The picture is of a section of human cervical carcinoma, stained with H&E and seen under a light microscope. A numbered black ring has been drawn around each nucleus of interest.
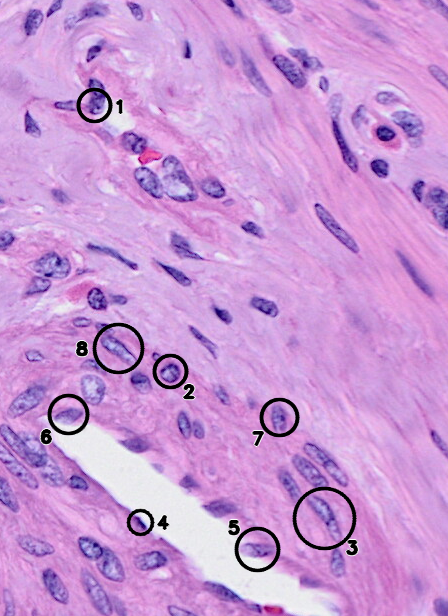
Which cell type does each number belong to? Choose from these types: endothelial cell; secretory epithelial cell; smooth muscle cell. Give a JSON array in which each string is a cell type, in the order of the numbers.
["endothelial cell", "smooth muscle cell", "smooth muscle cell", "endothelial cell", "endothelial cell", "endothelial cell", "smooth muscle cell", "smooth muscle cell"]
